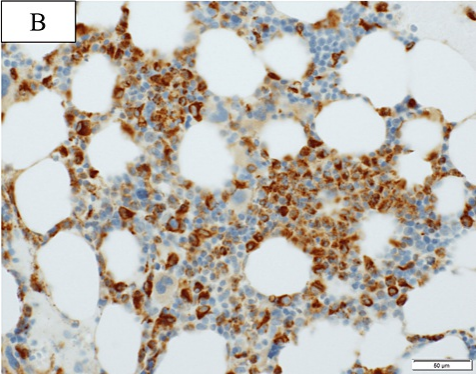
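This is a section of bone marrow, with many large round empty fat spaces and dense cellular tissue filling the spaces between them. Among the small cells with blue nuclei, many cells are strongly stained brown. The brown cells are scattered throughout the cellular areas and are most crowded in the middle of the field, lying between cells that remain only blue.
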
